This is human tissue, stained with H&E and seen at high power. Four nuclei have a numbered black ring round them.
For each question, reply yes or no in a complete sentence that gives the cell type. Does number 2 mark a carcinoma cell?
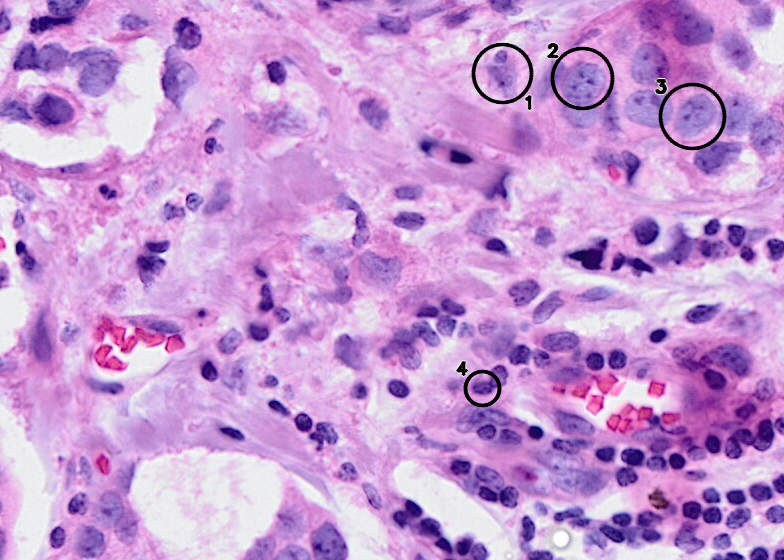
Yes, the cell labelled with number 2 is a carcinoma cell.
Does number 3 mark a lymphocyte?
No, it's not a lymphocyte at number 3; that cell is a carcinoma cell.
